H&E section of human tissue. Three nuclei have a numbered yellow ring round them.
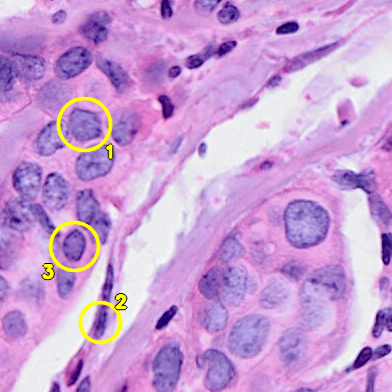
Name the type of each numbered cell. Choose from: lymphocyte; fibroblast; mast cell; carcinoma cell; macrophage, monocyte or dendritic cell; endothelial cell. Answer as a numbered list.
1. carcinoma cell
2. fibroblast
3. carcinoma cell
